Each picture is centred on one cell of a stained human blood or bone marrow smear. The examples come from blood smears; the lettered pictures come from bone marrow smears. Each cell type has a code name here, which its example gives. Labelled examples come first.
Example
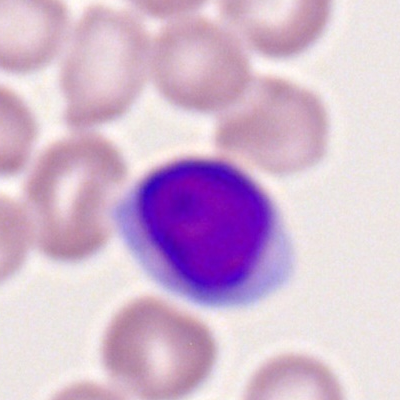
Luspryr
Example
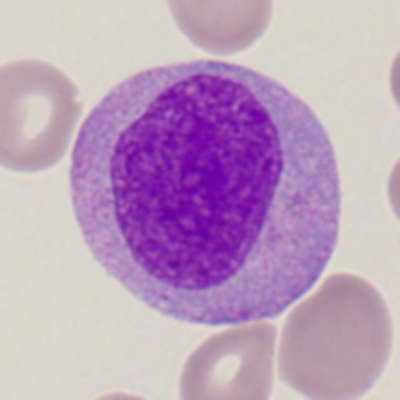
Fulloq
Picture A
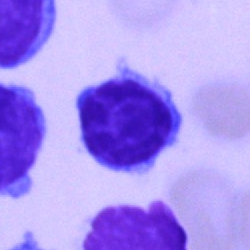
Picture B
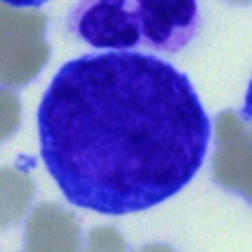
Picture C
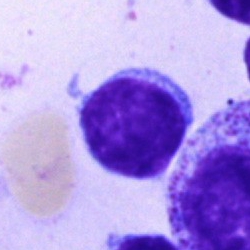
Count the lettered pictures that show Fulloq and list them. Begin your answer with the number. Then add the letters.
Count: 1 (B)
